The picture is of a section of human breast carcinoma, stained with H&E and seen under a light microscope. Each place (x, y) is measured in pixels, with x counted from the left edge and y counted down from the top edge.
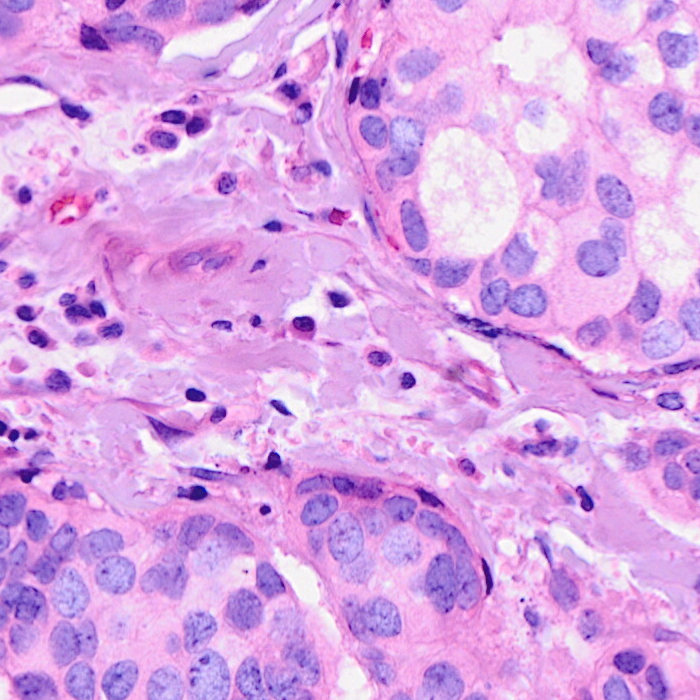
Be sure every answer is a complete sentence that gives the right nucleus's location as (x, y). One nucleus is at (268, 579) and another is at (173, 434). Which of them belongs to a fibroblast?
Rather than the other nucleus, the one at (173, 434) belongs to a fibroblast.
